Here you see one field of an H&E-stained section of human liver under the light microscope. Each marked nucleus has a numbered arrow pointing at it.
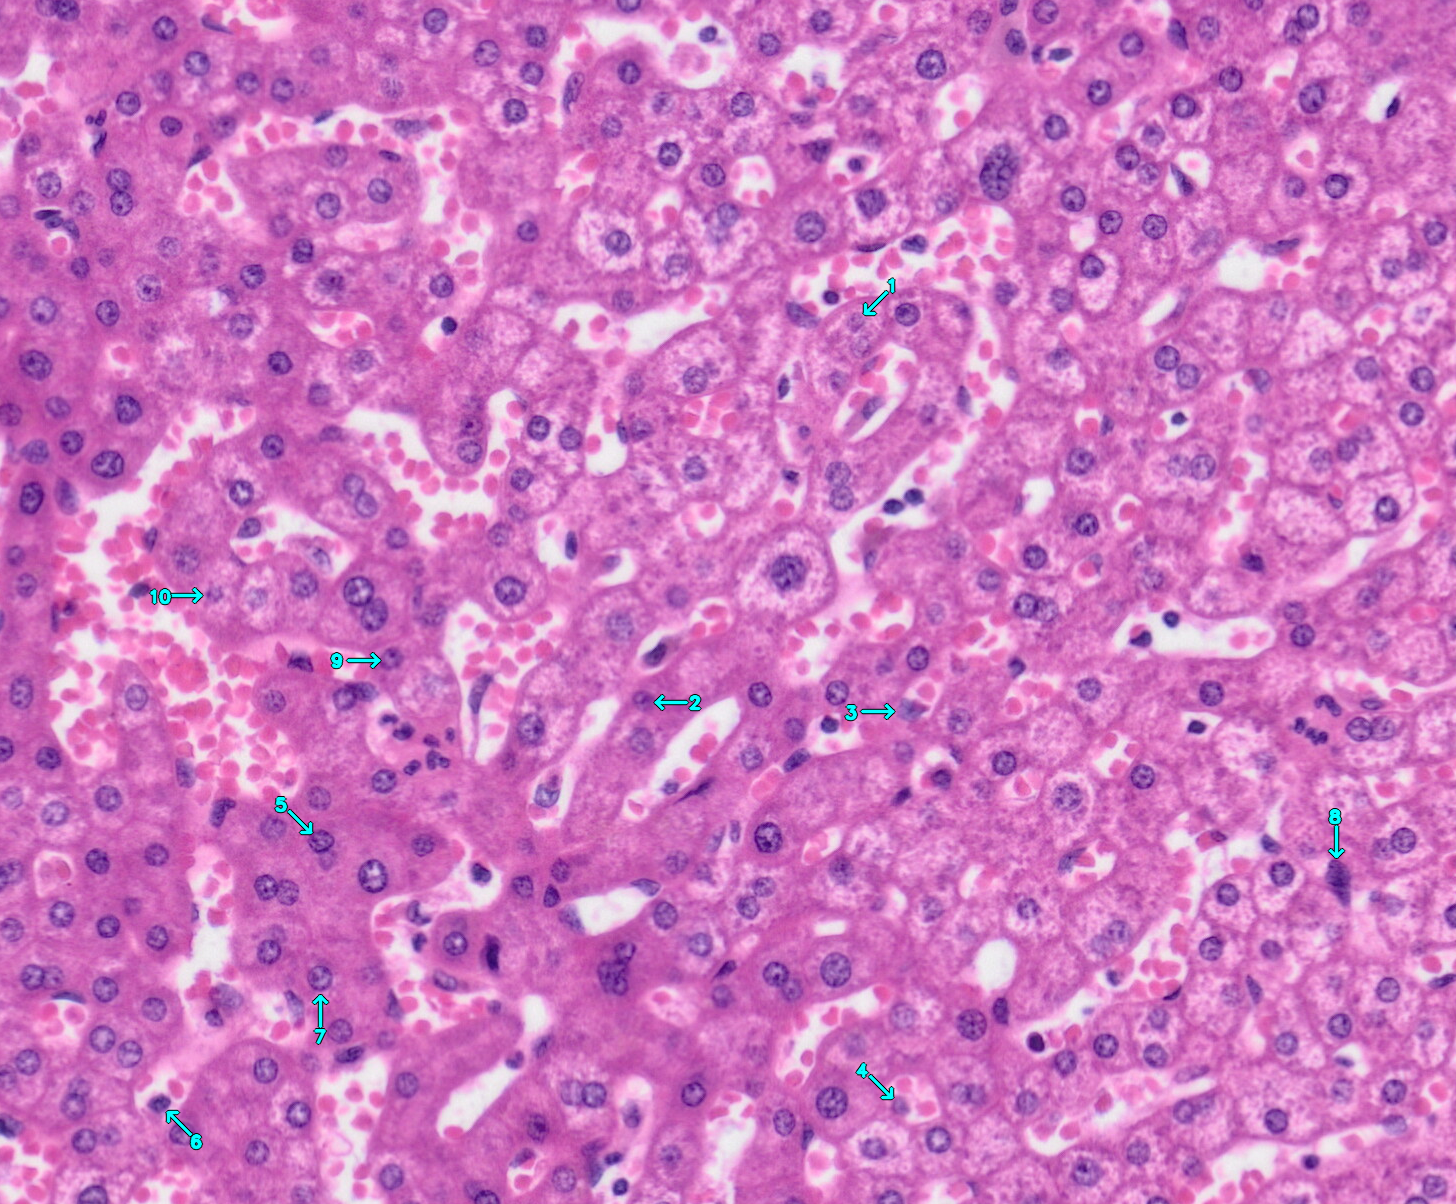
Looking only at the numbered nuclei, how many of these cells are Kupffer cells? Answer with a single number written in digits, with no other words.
1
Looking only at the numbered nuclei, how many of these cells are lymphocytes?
1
